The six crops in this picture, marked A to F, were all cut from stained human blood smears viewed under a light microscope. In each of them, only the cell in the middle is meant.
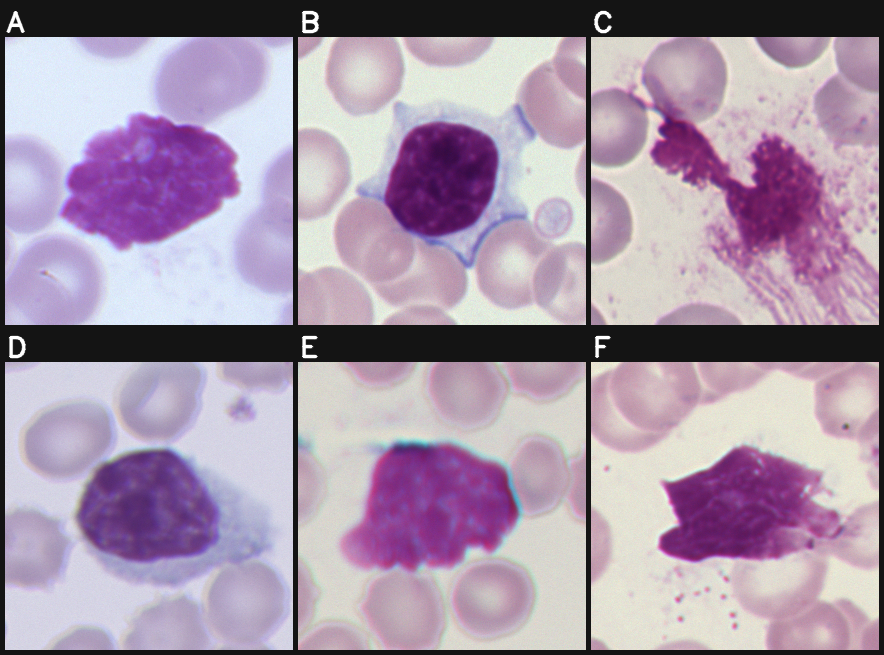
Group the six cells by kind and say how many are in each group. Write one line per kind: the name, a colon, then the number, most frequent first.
smudge cell: 4
typical lymphocyte: 2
